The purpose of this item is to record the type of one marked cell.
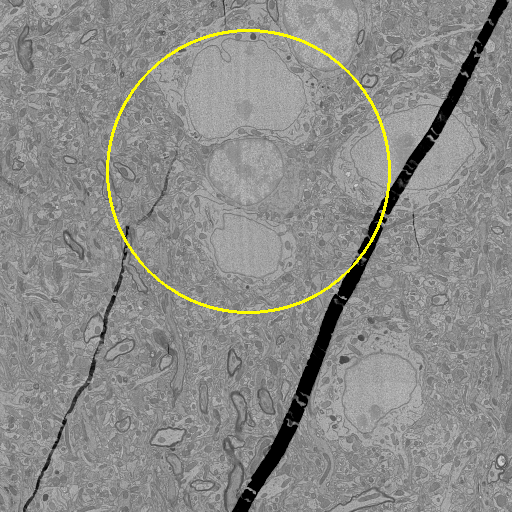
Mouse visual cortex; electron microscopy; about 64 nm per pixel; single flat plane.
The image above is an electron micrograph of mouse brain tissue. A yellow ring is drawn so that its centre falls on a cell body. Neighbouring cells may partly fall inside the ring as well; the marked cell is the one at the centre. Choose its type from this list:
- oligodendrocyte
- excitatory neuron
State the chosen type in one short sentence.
What the ring marks here is an oligodendrocyte.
